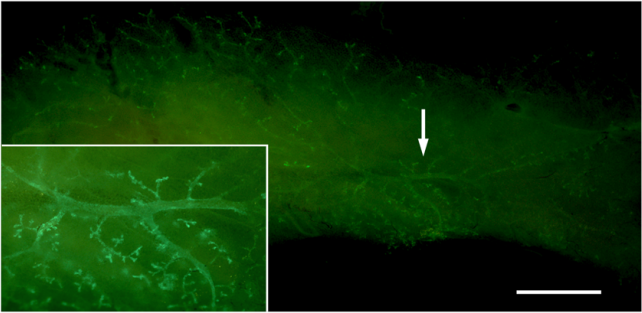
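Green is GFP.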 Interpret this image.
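A low-power whole mount of a fat pad shows a green fluorescent tree of mammary epithelium spreading through the dimmer surrounding tissue. Long ducts branch repeatedly into finer side branches, and many of these end in small rounded buds. The enlarged inset shows this branching pattern of ducts and terminal buds more clearly against the faint background.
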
